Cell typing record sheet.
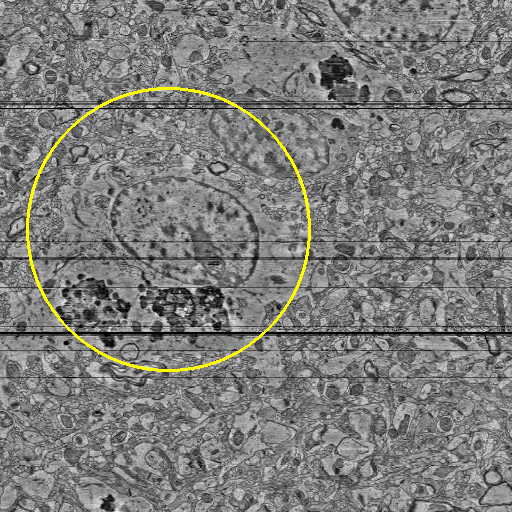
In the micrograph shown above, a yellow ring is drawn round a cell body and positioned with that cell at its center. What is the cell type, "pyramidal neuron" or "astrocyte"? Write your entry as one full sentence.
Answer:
The cell body at the center of the ring belongs to an astrocyte.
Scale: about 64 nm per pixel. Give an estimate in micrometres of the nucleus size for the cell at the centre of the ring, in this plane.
In this plane the nucleus measures roughly 10 by 7 micrometres.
